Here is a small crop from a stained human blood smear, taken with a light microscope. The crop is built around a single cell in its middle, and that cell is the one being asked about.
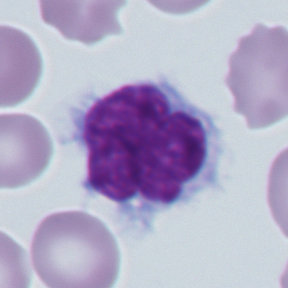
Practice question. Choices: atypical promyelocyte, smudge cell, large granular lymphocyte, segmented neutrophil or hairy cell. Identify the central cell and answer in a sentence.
The cell centered in this field of view is a hairy cell.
